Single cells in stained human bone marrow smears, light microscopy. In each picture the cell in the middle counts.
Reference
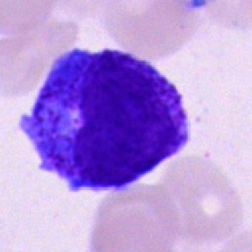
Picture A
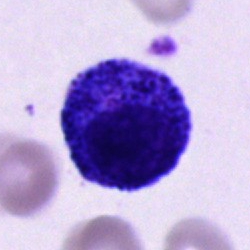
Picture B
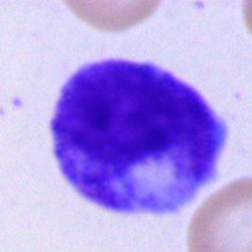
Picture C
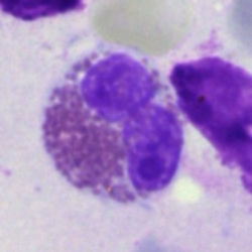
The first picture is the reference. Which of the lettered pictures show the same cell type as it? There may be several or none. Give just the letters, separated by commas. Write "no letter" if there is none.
A, B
